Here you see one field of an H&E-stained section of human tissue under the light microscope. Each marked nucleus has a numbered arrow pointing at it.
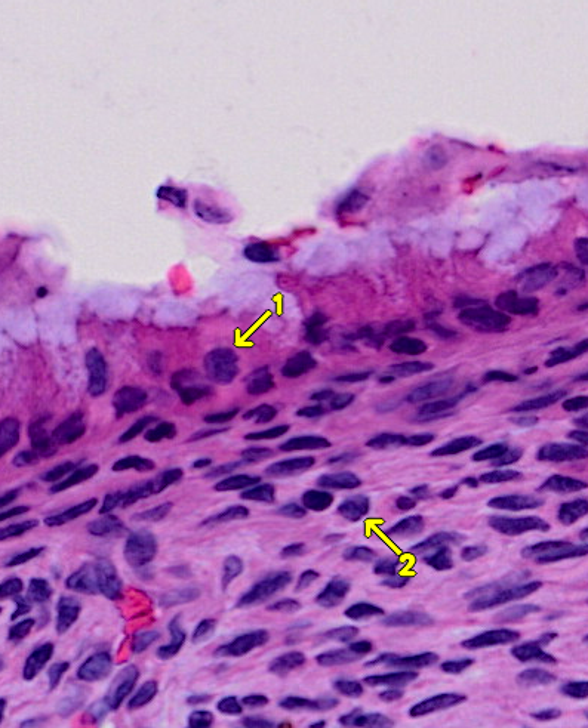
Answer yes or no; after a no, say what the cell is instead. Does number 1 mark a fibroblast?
No, it is a secretory epithelial cell.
